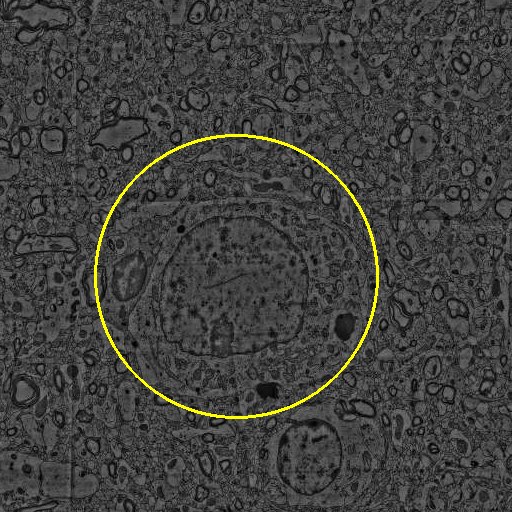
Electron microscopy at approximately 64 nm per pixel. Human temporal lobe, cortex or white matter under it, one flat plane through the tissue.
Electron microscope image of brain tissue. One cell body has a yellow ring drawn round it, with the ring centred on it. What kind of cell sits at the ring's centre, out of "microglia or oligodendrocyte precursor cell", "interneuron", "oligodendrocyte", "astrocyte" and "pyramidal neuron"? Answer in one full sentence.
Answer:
It is an interneuron whose cell body sits at the centre of the yellow ring.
